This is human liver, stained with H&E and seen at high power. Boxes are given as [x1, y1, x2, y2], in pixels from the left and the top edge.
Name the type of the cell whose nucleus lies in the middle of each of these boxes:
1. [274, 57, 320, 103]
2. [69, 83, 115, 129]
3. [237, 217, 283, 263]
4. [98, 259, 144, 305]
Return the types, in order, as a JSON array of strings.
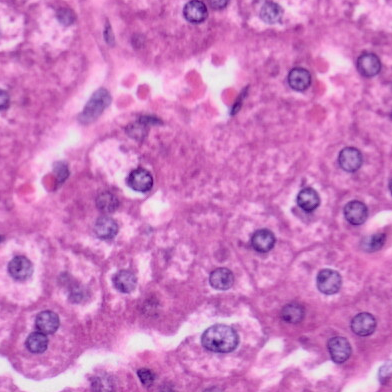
["hepatocyte", "Kupffer cell", "hepatocyte", "hepatocyte"]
